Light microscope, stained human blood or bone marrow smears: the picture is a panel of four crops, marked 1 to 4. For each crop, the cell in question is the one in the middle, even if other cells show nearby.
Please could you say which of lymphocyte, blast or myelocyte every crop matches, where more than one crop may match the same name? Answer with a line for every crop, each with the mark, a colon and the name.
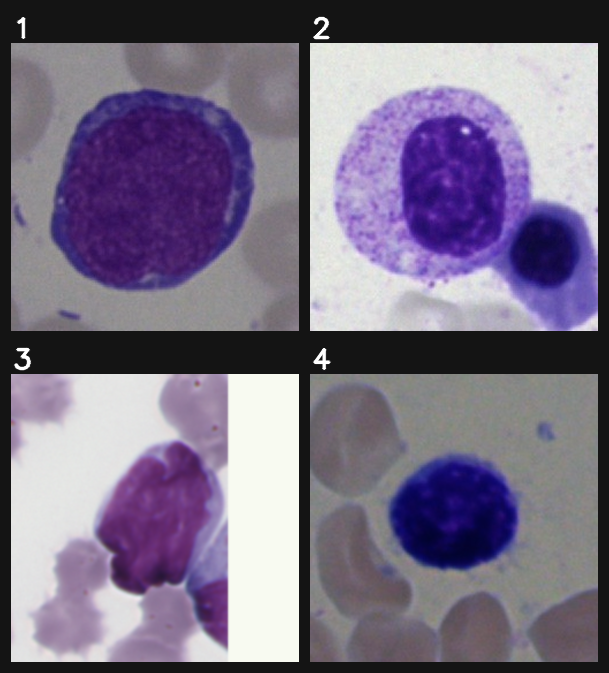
1: blast
2: myelocyte
3: blast
4: lymphocyte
